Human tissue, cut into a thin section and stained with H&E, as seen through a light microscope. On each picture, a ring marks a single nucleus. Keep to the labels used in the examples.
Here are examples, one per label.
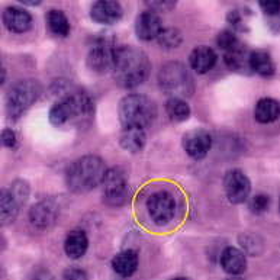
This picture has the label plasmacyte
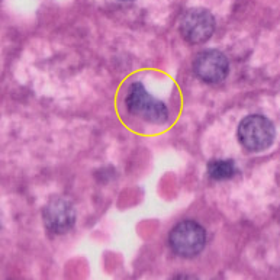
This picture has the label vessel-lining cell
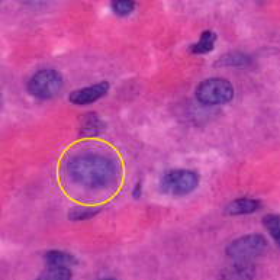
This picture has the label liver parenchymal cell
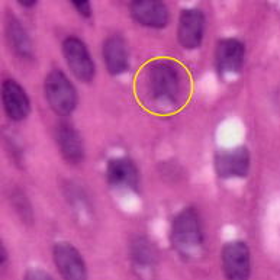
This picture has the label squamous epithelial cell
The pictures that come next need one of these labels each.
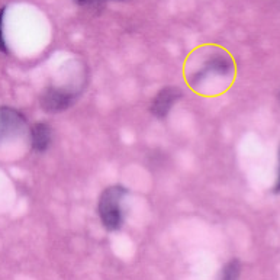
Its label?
squamous epithelial cell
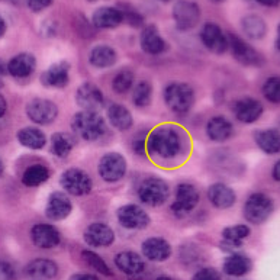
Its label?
plasmacyte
